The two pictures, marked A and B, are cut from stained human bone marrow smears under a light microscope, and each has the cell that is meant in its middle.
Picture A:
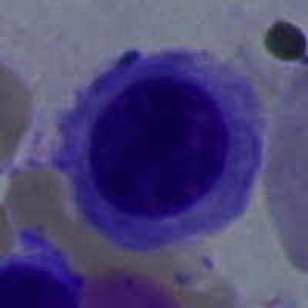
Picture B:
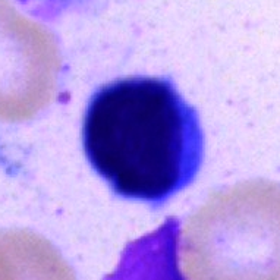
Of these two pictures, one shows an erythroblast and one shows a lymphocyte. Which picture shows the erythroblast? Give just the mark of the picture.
A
